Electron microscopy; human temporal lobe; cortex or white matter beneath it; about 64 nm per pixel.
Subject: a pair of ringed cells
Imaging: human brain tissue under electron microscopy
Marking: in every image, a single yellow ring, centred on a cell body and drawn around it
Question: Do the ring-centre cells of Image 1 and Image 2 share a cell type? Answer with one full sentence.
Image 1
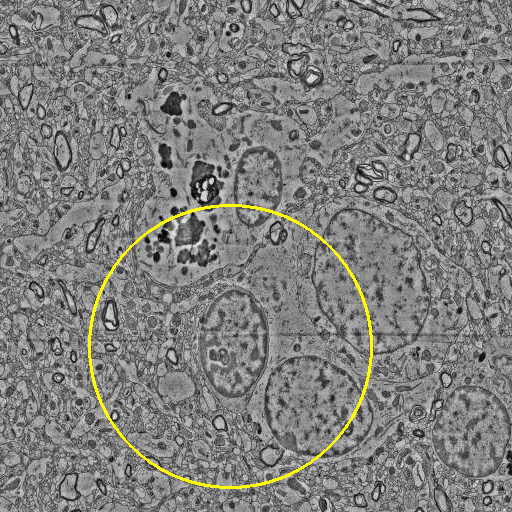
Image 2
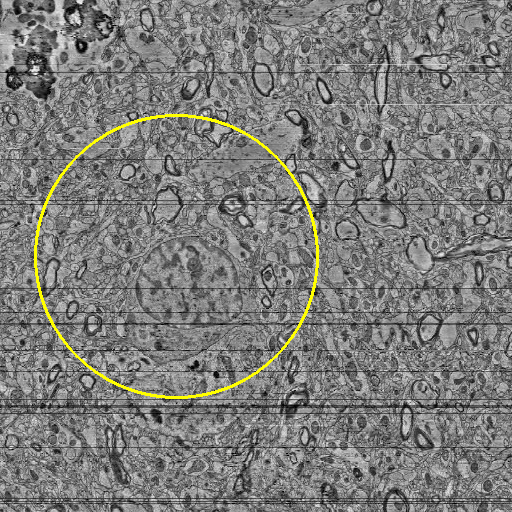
Yes, at each ring's centre in the images sits a cell of one common type.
